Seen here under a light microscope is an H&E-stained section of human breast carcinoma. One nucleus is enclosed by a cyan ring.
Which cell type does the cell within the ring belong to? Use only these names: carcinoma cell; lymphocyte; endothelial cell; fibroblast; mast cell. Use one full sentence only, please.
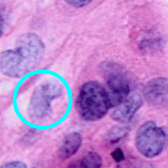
By cell type, the cell within the ring is a carcinoma cell.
